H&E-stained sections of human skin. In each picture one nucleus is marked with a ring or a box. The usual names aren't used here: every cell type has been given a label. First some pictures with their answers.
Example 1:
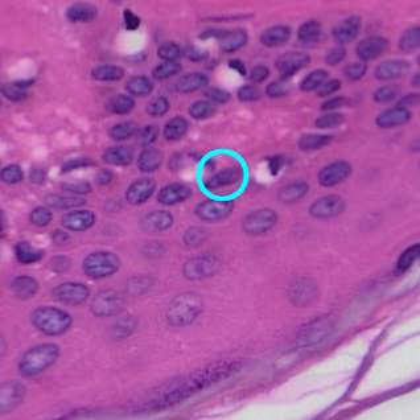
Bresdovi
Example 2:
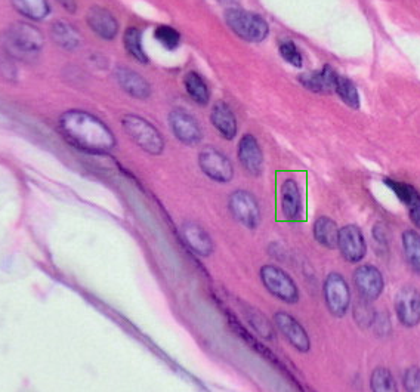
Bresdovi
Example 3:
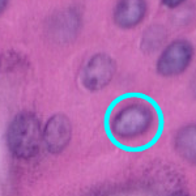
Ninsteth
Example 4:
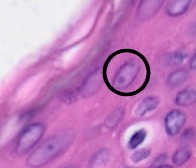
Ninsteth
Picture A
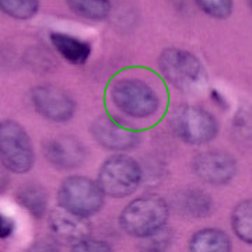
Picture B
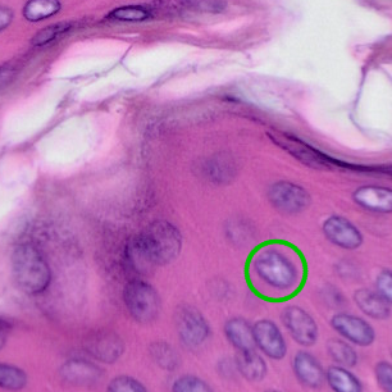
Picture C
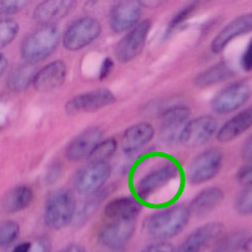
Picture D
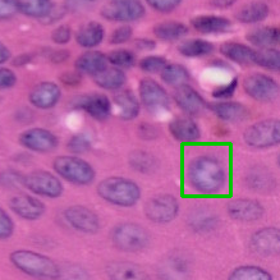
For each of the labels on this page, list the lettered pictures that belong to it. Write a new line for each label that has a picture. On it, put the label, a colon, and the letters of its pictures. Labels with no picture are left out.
Bresdovi: C
Ninsteth: A, B, D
